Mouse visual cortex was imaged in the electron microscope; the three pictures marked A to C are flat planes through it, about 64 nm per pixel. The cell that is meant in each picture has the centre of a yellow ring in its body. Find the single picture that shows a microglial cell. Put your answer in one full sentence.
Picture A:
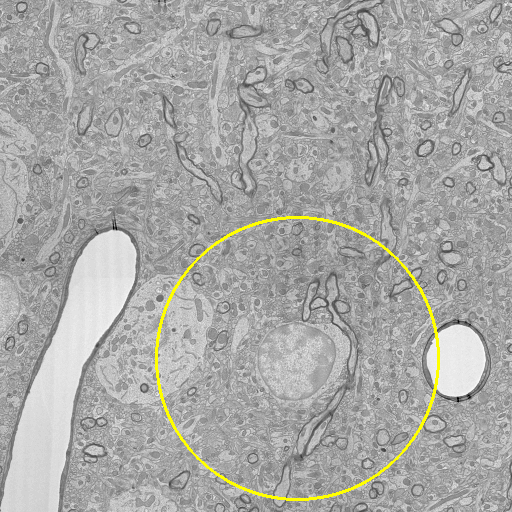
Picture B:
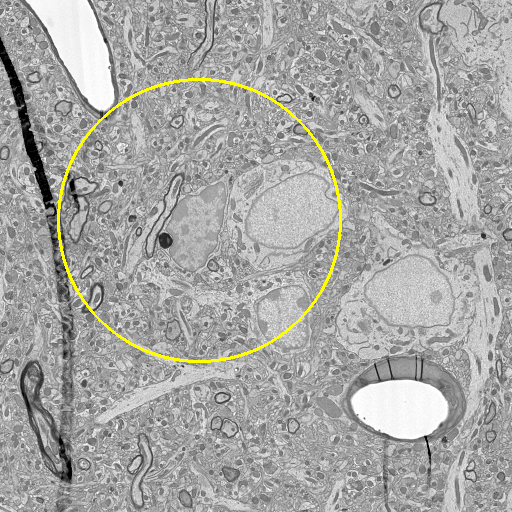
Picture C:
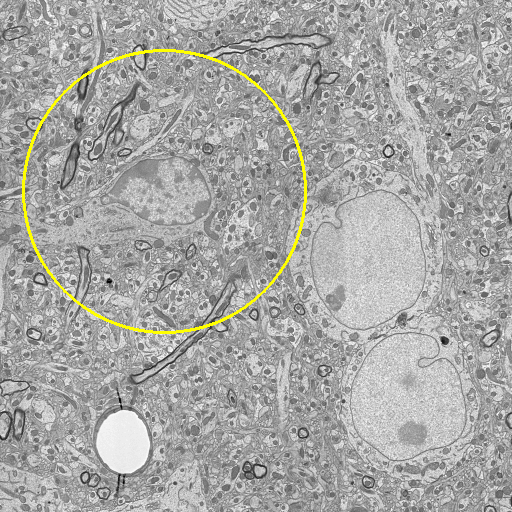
It is picture B that shows the microglial cell.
